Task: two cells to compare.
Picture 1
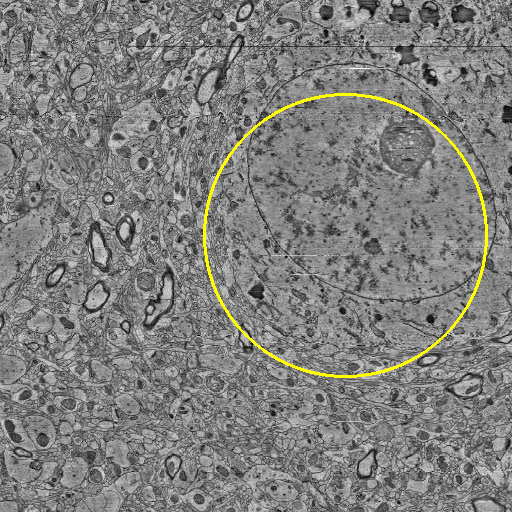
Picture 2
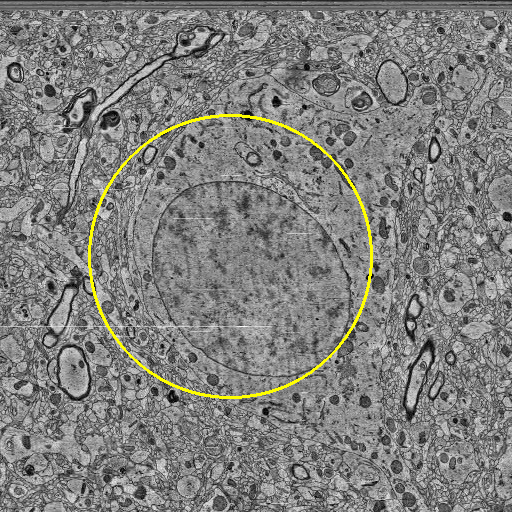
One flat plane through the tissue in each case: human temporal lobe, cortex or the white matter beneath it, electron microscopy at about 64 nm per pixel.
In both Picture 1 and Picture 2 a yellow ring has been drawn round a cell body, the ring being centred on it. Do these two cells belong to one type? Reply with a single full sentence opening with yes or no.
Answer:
Yes, the two cells at the ring centres in Picture 1 and Picture 2 share one type.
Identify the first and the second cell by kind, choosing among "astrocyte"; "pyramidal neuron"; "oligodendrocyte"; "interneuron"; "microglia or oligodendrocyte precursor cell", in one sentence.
Each of the ringed cells, first and second, is a pyramidal neuron.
